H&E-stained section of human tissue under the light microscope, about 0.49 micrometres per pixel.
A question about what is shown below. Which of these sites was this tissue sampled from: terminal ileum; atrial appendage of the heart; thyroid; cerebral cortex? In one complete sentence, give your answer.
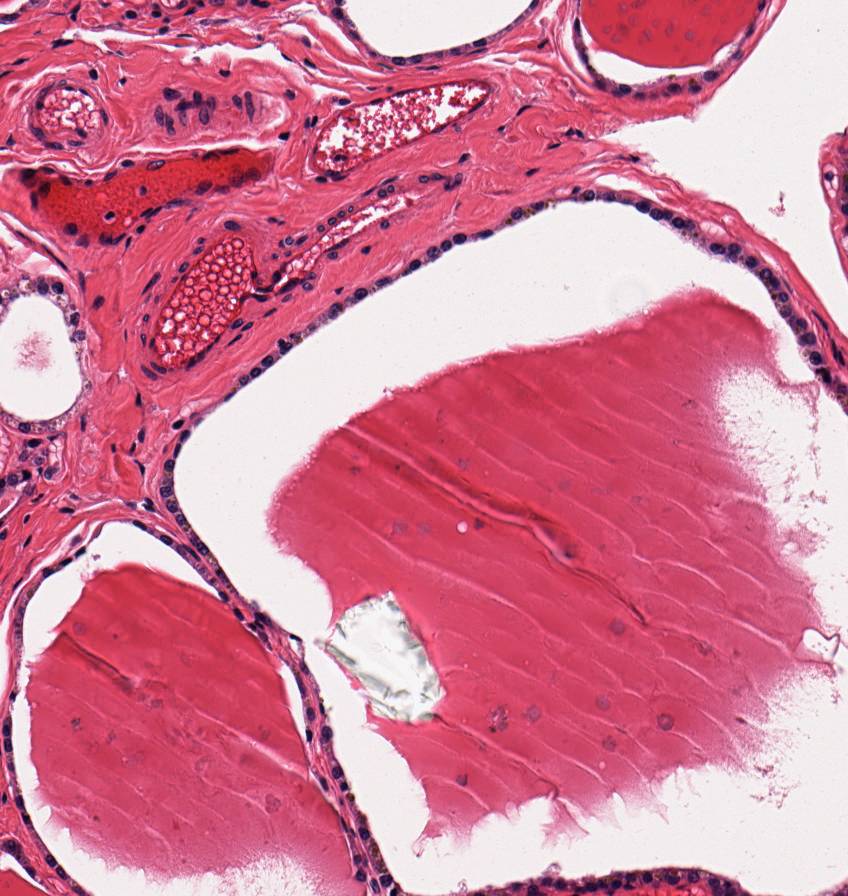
This histological section comes from the thyroid.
